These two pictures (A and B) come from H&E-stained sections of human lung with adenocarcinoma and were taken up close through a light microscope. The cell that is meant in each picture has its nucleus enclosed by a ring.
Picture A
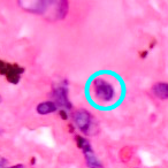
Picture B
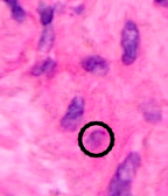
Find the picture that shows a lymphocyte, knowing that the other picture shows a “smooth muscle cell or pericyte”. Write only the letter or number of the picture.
A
